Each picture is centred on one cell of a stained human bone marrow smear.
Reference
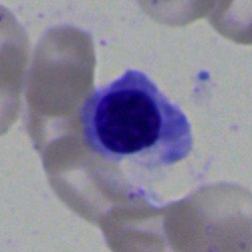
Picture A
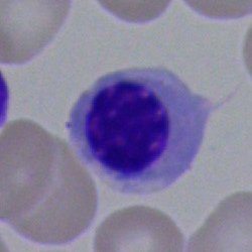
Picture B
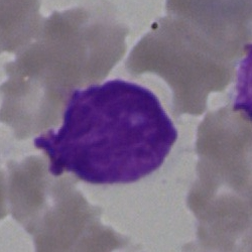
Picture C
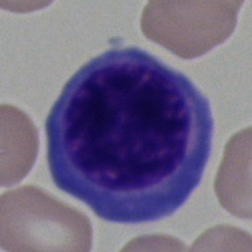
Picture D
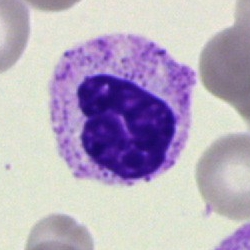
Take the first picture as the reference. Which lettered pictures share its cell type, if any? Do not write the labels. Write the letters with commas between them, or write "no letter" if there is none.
A, C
